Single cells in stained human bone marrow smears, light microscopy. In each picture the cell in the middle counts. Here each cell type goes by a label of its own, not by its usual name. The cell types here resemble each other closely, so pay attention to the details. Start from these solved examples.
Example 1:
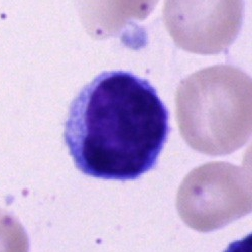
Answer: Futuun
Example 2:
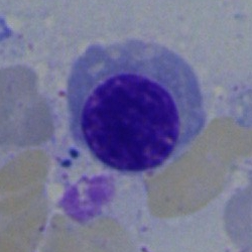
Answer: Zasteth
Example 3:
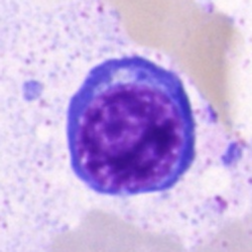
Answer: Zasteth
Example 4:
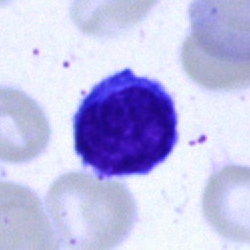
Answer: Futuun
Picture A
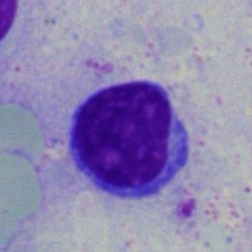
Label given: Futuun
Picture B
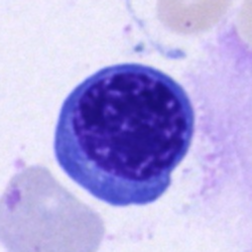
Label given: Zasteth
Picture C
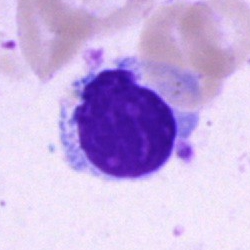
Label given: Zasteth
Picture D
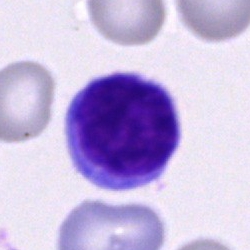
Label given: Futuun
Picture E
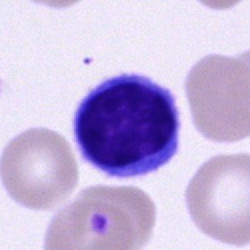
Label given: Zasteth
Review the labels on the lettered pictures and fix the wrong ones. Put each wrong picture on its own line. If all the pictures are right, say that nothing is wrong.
Wrong: C (Zasteth); correct: Futuun
Wrong: E (Zasteth); correct: Futuun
